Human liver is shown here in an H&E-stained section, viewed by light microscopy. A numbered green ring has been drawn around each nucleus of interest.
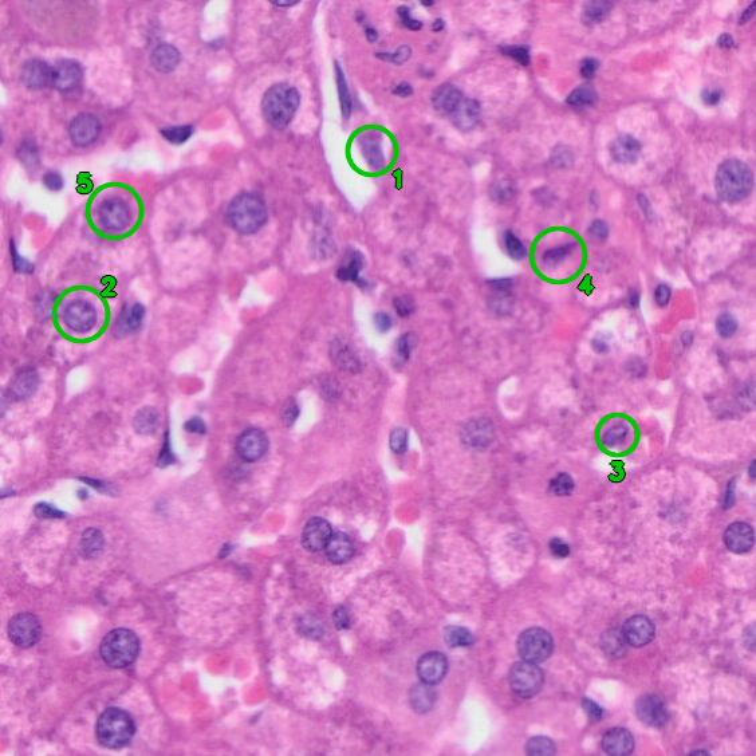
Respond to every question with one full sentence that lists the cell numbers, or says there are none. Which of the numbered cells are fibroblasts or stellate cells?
Cell 4 is a fibroblast or stellate cell, and it is the only one.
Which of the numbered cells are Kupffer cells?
The cells bearing the numbers 1 and 3 are Kupffer cells.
